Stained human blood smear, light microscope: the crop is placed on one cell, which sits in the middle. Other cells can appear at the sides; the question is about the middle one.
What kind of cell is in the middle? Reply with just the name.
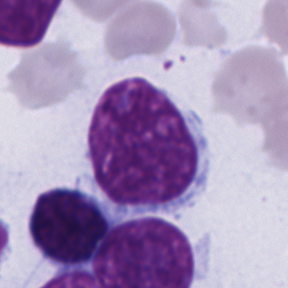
myeloblast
